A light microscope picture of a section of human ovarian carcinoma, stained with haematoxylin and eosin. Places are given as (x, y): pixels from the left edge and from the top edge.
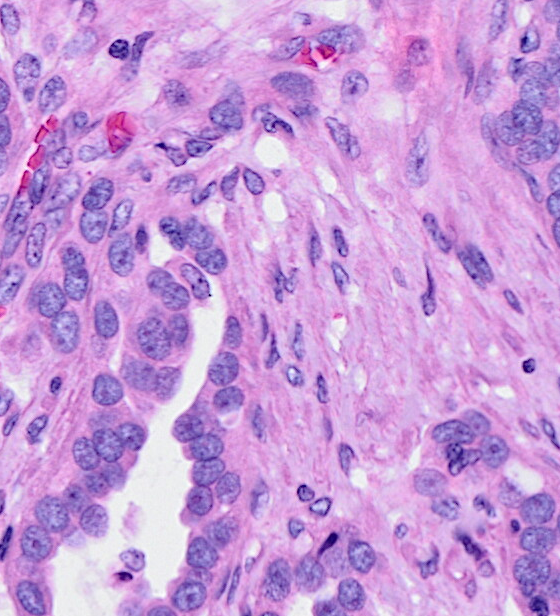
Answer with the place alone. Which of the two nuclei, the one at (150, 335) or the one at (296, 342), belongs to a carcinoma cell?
(150, 335)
